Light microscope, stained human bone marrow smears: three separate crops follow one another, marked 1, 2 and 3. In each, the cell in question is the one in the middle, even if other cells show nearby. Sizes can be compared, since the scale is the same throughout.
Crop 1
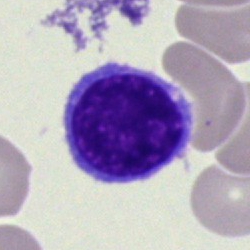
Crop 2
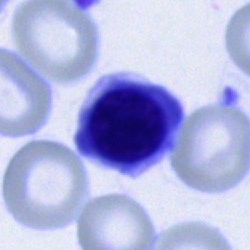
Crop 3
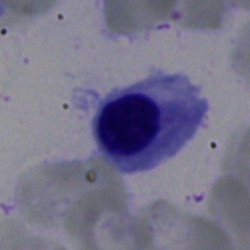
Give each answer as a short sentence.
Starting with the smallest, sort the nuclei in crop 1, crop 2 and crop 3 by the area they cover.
The order is 3, 2, 1, beginning with the smallest.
